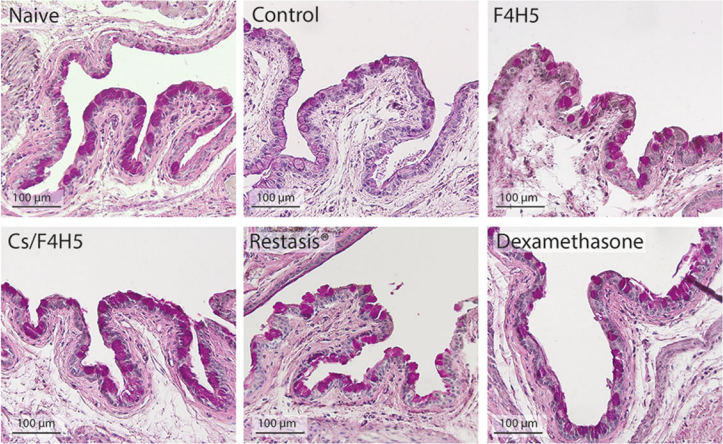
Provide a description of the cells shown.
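Six sections of conjunctiva show a thin epithelium thrown into folds that border an open space, with goblet cells set within the epithelial layer. The goblet cells are rounded and filled with deep magenta material, and they lie at the free surface, often in clusters along the folds. The other epithelial cells have small blue-purple nuclei and pale cytoplasm, and beneath them lies loose, pale pink fibrous connective tissue with scattered nuclei. The number and packing of the magenta goblet cells varies between the sections, with some stretches of epithelium holding few of them.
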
